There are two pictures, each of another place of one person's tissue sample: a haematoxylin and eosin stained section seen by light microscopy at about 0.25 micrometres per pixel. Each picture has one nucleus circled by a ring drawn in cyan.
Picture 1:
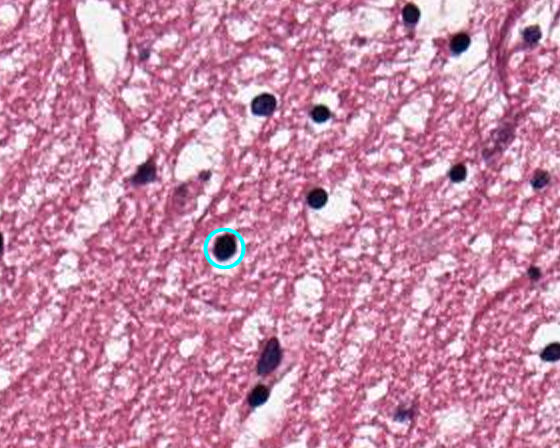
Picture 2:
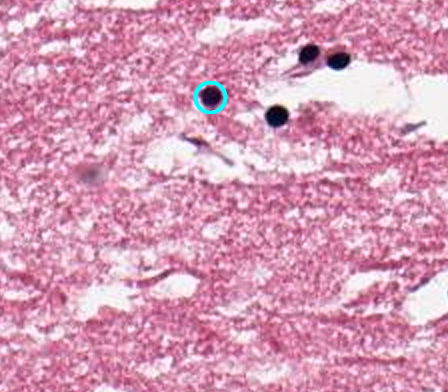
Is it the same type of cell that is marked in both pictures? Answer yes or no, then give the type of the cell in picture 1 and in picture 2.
Yes, both are oligodendrocytes.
